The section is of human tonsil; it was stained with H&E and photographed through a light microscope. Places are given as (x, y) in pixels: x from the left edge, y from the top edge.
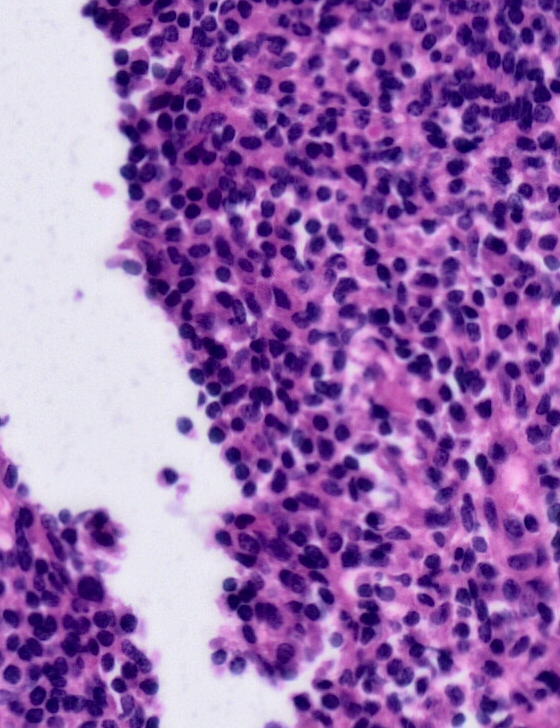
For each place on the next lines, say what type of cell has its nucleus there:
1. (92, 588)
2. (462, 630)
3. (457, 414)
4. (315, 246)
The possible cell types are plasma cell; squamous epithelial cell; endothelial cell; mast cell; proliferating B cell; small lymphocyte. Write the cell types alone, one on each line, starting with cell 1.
proliferating B cell
small lymphocyte
plasma cell
plasma cell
